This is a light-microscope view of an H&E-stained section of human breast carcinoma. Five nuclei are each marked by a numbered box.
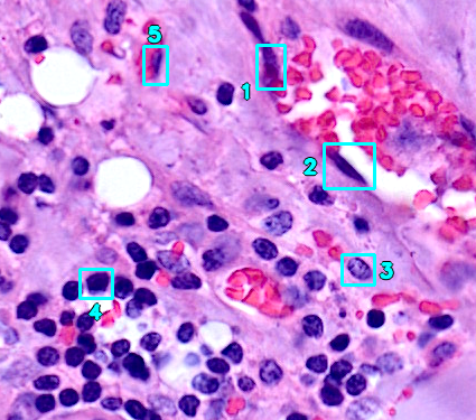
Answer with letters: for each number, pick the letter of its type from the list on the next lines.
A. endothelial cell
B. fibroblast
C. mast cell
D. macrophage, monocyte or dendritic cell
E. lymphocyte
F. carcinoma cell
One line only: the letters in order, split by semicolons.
A; A; C; E; A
